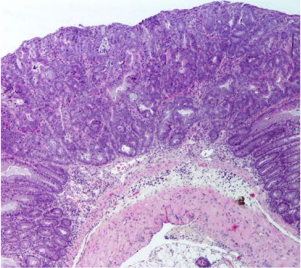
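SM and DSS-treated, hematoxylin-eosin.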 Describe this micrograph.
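The colonic mucosa here is greatly thickened and packed with crowded, irregular, branching glands lined by purple-staining epithelium, losing the orderly row of straight crypts that is still seen at the right edge. Beneath, a pale loose submucosa with scattered cells and a pink smooth-muscle layer run continuously, and the abnormal glands do not appear to cross into them. This fits a tumor confined to the mucosa, a carcinoma in situ.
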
